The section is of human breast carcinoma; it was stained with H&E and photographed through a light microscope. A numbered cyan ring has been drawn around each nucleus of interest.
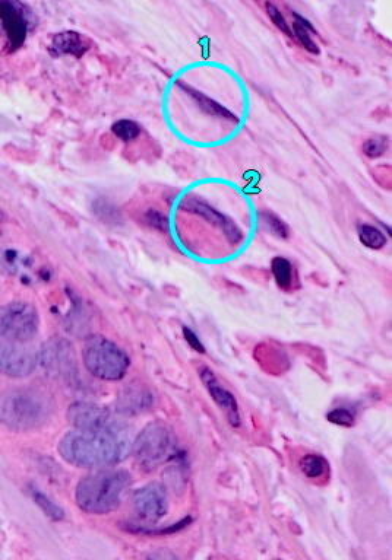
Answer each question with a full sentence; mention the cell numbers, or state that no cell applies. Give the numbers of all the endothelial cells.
Whereas cell 2 is an endothelial cell, the other numbered cells are not.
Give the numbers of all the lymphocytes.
The numbered cells and the lymphocytes have no member in common.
